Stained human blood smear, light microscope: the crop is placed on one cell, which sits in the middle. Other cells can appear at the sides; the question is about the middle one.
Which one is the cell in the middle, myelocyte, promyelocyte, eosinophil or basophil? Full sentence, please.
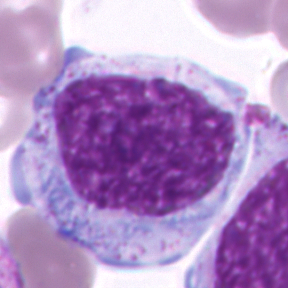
The cell under consideration, at the middle of the crop, is a promyelocyte.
